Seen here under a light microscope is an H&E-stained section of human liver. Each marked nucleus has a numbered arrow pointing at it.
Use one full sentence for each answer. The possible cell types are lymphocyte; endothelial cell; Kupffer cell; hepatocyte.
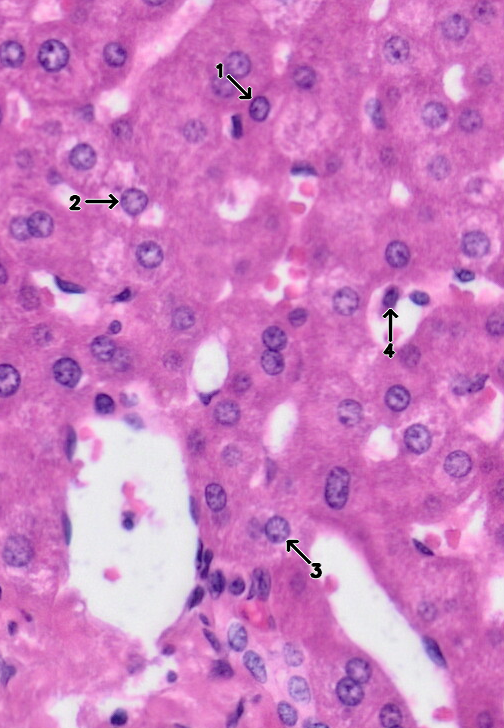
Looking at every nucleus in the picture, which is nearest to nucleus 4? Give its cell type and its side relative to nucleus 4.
A lymphocyte lies closest, to the right of nucleus 4.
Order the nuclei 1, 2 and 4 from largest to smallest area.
Going from the biggest nucleus down to the smallest gives 2, 1, 4.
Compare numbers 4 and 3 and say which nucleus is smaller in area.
Nucleus 4 is the smaller one; nucleus 3 covers about 2 times its area.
